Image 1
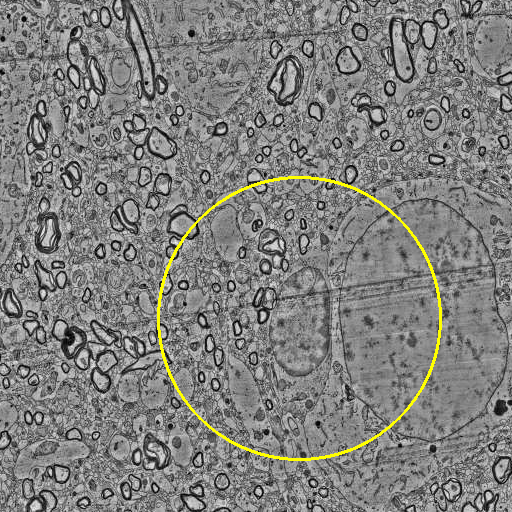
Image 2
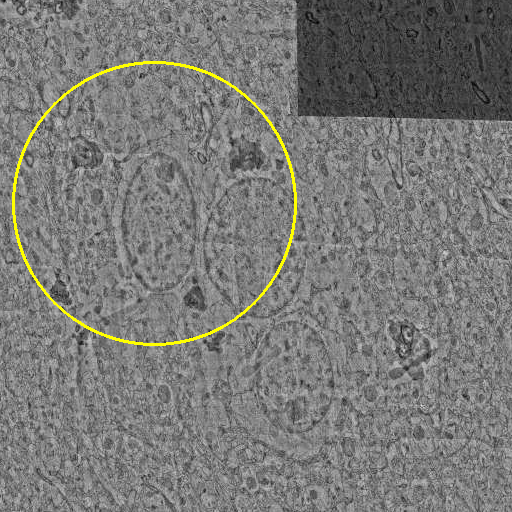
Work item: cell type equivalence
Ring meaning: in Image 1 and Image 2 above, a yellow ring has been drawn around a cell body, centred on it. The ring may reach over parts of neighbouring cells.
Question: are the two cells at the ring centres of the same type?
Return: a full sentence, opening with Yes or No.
No, the two centred cells are of two types.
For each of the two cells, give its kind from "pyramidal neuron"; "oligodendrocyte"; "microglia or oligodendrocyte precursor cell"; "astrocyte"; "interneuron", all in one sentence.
The first picture has an oligodendrocyte in its ring, the second has an astrocyte.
